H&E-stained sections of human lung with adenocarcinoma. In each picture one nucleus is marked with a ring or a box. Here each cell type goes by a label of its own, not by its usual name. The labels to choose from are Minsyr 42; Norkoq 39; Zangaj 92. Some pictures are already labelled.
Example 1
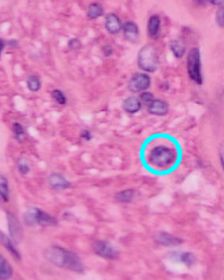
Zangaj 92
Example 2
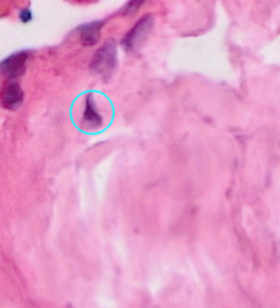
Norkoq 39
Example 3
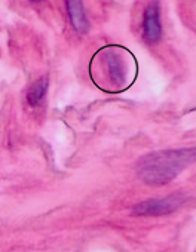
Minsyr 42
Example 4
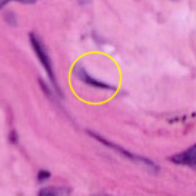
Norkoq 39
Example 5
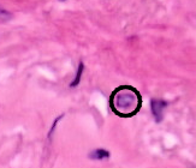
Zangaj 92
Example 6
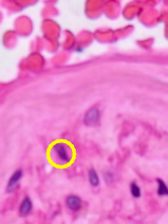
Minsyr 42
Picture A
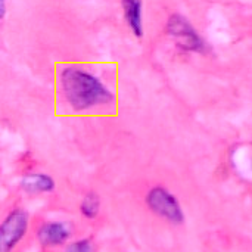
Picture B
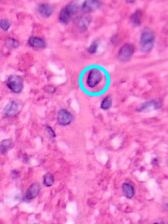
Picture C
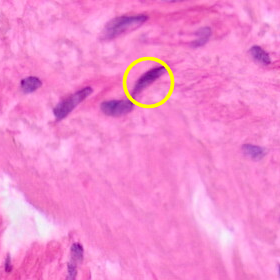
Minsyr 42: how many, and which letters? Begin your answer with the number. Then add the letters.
1, namely C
